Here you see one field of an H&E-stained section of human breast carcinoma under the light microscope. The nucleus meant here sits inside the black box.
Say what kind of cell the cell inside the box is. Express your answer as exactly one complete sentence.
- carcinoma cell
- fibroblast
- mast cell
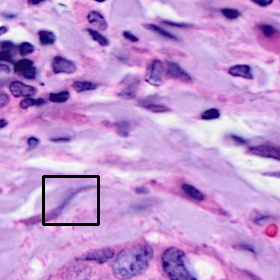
Students should answer that the cell inside the box is a fibroblast.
